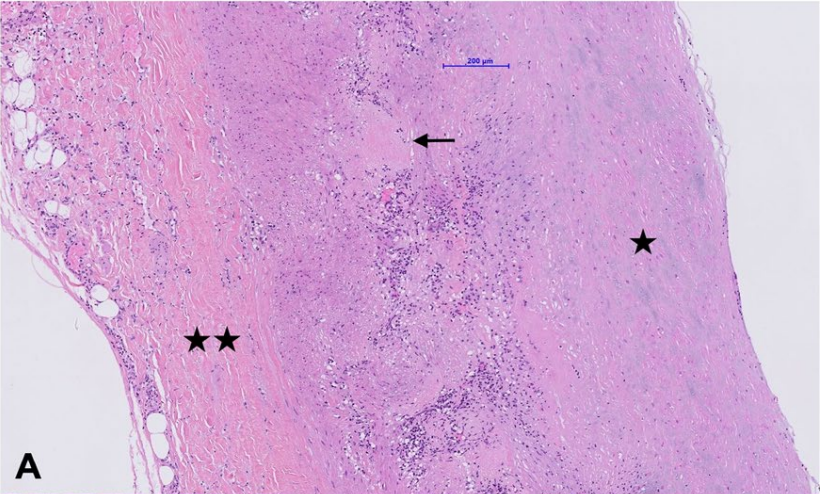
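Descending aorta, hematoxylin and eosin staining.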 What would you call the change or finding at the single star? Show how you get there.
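The starred layer at the luminal edge is pale pink, fibrous and sparsely cellular. It lies on the opposite side of the wall from the fat-bearing outer tissue. So: intimal fibrosis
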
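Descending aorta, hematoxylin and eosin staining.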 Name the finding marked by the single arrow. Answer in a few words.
Block-like media necrosis.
